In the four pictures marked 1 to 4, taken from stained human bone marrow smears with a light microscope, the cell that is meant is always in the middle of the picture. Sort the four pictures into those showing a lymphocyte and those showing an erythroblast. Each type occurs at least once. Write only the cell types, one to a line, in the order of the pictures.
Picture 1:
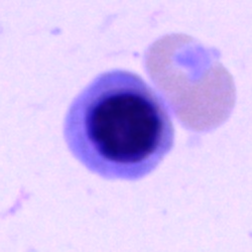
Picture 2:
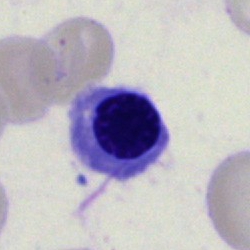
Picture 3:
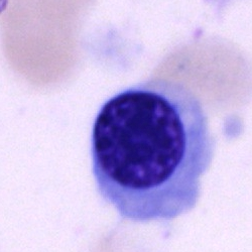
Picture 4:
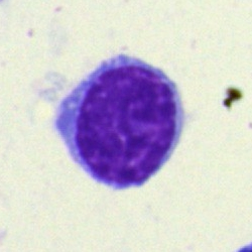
erythroblast
erythroblast
erythroblast
lymphocyte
